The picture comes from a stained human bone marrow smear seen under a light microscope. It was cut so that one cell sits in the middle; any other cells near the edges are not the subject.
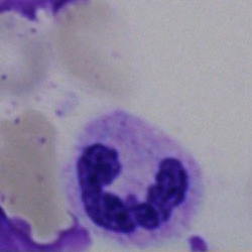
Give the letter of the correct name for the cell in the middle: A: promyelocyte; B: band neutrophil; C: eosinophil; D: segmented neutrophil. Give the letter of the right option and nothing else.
D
